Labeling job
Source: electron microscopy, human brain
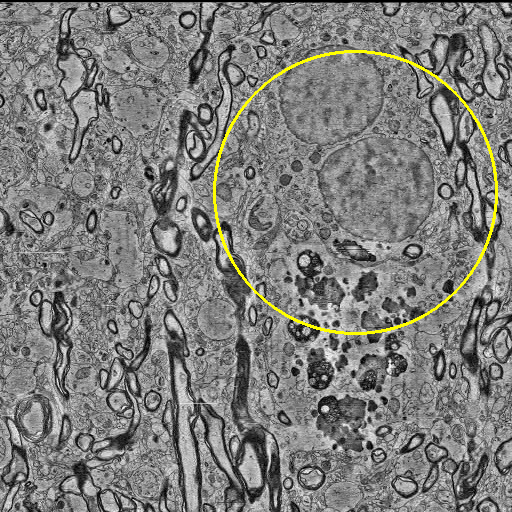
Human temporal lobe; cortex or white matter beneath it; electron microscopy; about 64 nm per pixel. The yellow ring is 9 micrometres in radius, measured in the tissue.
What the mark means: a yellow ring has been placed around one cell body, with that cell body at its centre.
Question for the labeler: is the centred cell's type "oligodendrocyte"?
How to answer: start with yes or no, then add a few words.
Yes, that is its type.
